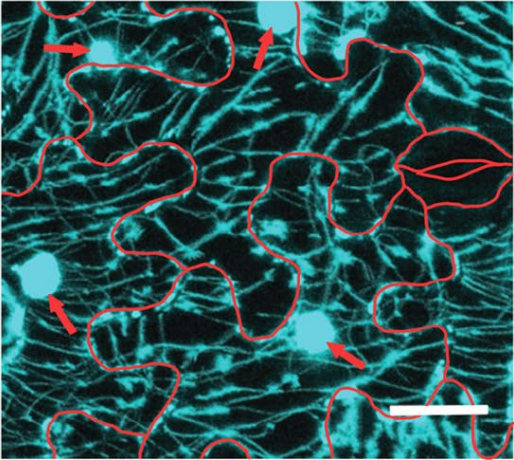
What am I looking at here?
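These are leaf epidermal pavement cells, their borders traced as wavy, interlocking jigsaw-like red lines. Inside each cell a dense network of fine cyan filaments runs in long, often parallel strands crossing the cell. Near the right edge a pair of small bean-shaped outlines forms a stoma between the pavement cells.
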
